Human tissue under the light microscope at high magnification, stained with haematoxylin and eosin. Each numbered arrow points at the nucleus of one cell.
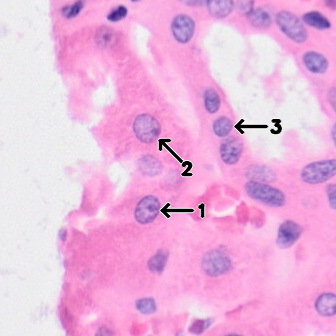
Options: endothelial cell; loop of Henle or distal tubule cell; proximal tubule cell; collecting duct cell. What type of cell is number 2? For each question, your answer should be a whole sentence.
Looking at the numbered marks, cell 2 is a proximal tubule cell.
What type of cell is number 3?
The mark numbered 3 indicates the nucleus of a collecting duct cell.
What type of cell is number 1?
The cell marked with number 1 is a proximal tubule cell.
